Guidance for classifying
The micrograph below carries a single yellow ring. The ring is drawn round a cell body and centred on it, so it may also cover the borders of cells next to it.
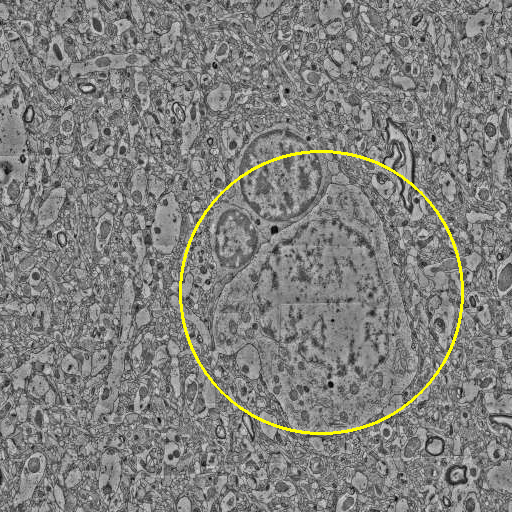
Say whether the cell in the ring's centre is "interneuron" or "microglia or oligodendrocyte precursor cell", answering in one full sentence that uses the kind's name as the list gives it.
Within the yellow ring, an interneuron is the cell whose body sits at the centre.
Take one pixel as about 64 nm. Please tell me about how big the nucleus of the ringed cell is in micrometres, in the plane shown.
About 11 by 8 micrometers, in this plane.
